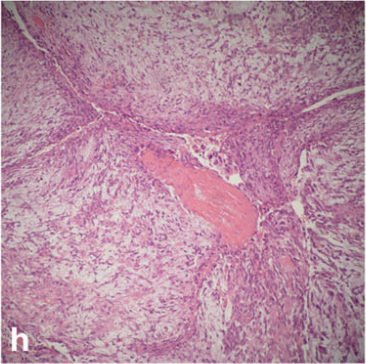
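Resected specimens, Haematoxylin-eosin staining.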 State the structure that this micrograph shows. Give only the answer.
fibrovascular septa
